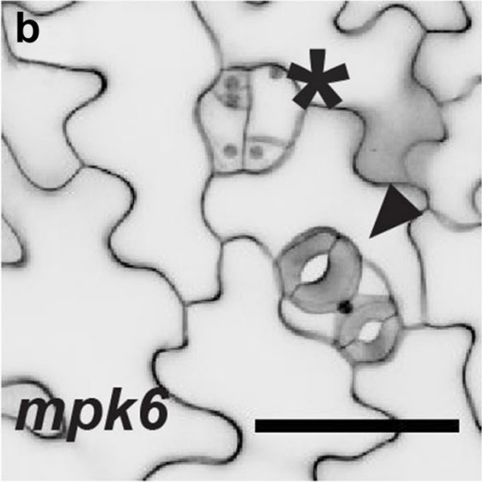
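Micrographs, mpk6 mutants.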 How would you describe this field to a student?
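This is a view of a leaf epidermis made of large jigsaw-shaped pavement cells with wavy outlines. Beside them sits a small cluster of small precursor cells without any pore, some with dark dots inside. Just below lie two stomata, each formed by a pair of kidney-shaped guard cells surrounding a central pore, side by side.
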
